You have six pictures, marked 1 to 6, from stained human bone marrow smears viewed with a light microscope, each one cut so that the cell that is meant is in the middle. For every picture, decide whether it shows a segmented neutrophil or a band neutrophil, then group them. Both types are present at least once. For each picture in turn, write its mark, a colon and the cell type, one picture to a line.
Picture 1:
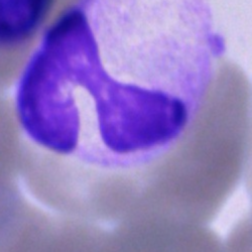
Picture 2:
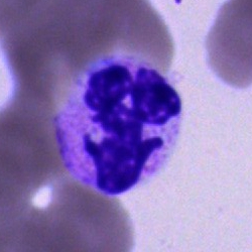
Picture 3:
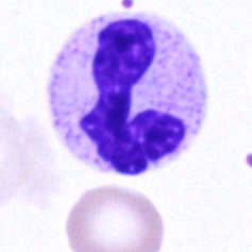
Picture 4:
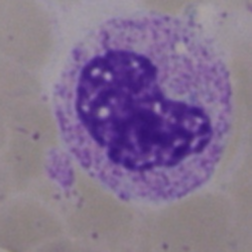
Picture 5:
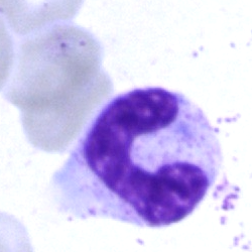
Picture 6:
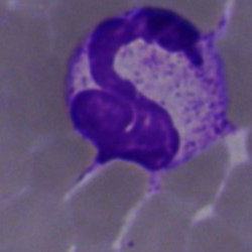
1: band neutrophil
2: segmented neutrophil
3: segmented neutrophil
4: band neutrophil
5: band neutrophil
6: segmented neutrophil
